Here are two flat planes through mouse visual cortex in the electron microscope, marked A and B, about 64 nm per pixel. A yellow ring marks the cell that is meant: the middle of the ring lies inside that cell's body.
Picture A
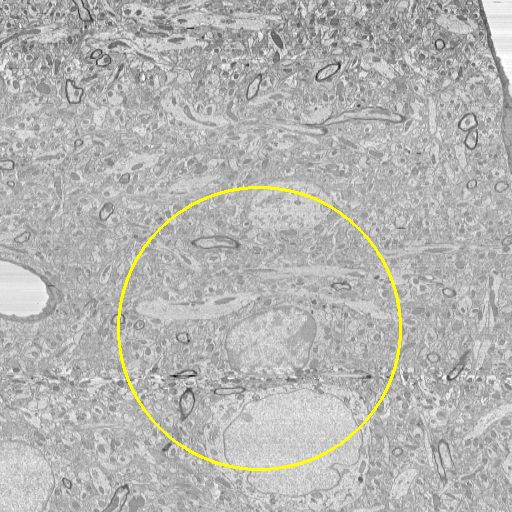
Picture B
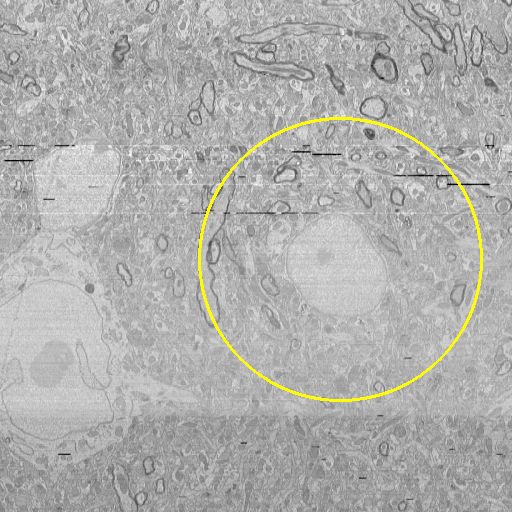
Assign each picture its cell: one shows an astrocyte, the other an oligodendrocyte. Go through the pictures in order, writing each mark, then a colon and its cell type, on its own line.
A: oligodendrocyte
B: astrocyte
